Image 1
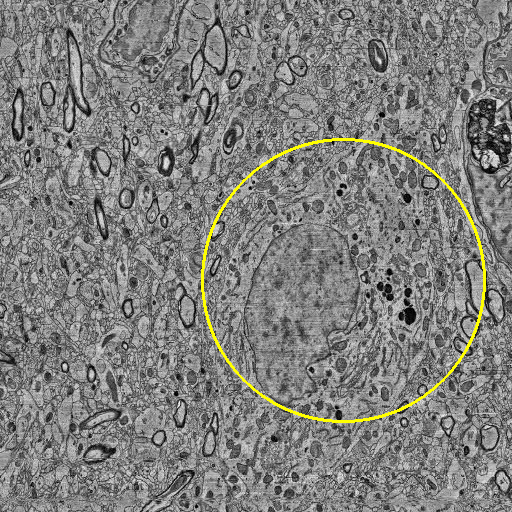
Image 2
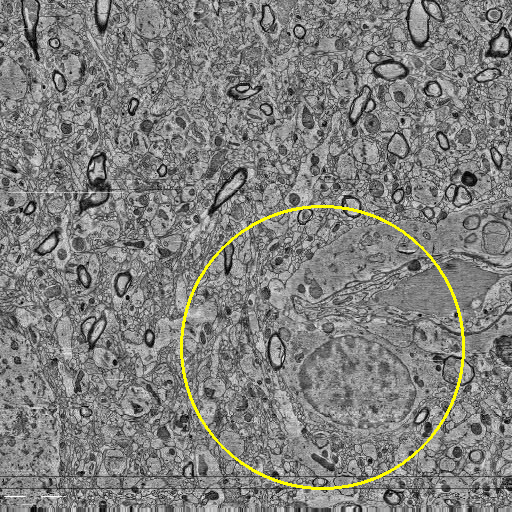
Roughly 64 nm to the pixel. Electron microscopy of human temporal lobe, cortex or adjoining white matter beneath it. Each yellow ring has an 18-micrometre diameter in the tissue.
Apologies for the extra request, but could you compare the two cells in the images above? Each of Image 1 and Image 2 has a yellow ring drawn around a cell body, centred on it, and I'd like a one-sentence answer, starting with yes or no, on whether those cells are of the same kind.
No, the two cells are of two kinds.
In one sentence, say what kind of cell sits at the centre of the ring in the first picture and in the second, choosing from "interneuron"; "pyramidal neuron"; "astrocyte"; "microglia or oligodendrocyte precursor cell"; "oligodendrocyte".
The first picture's ringed cell is an interneuron, while the second picture's is an oligodendrocyte.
